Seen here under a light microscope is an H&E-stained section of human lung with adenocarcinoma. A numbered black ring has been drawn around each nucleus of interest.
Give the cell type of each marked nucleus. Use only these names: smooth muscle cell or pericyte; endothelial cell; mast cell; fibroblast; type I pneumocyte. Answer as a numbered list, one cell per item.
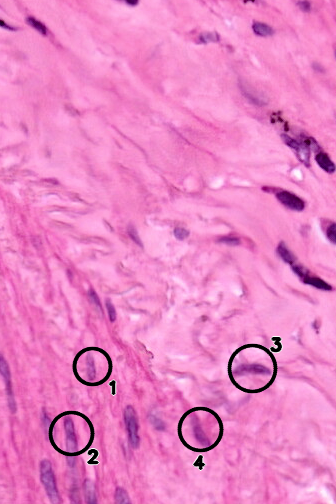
1. smooth muscle cell or pericyte
2. smooth muscle cell or pericyte
3. fibroblast
4. smooth muscle cell or pericyte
